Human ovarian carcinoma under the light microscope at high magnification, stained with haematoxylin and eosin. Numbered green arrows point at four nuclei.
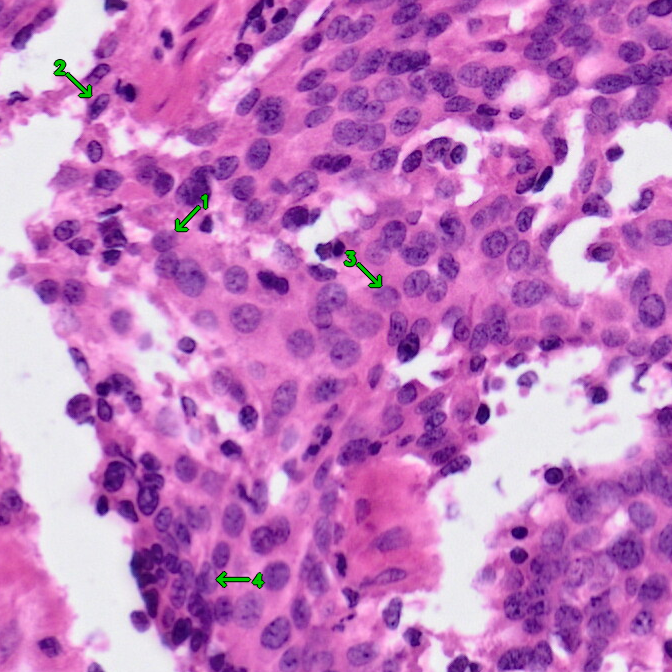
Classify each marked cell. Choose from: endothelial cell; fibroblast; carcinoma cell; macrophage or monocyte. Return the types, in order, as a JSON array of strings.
["carcinoma cell", "macrophage or monocyte", "carcinoma cell", "carcinoma cell"]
